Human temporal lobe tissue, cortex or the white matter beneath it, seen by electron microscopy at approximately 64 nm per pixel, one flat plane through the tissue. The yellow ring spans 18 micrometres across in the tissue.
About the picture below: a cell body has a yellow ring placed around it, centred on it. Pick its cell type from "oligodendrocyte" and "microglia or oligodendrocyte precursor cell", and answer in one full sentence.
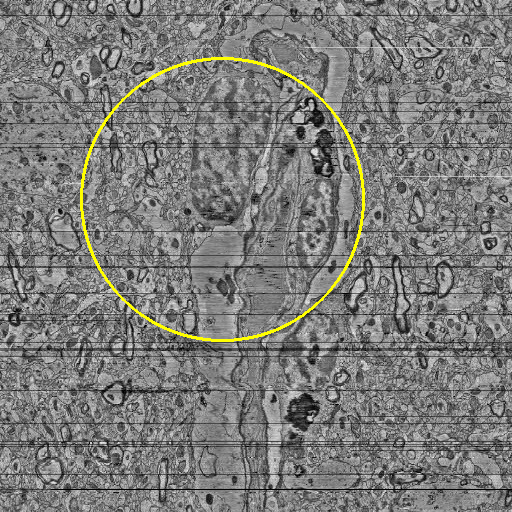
In the picture, an oligodendrocyte is the cell sitting at the centre of the yellow ring.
